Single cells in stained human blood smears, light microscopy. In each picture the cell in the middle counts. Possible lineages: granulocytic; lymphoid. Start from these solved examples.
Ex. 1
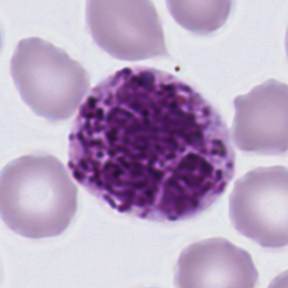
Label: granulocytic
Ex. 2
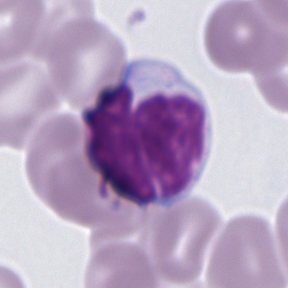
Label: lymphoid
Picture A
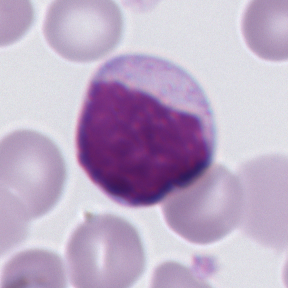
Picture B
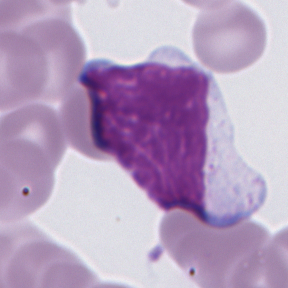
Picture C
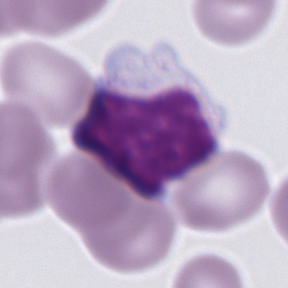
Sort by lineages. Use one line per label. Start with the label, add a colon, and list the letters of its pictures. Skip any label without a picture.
lymphoid: A, B, C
